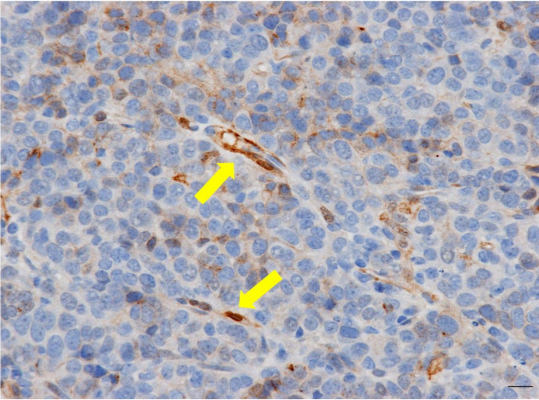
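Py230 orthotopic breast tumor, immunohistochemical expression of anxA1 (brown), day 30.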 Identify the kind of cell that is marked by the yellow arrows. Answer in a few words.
Microvascular endothelial cell.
